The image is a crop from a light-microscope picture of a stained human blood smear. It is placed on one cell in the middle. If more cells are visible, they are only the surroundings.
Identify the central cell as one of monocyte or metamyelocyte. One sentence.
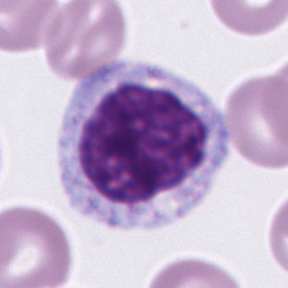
The cell at the central position in this crop is a metamyelocyte.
